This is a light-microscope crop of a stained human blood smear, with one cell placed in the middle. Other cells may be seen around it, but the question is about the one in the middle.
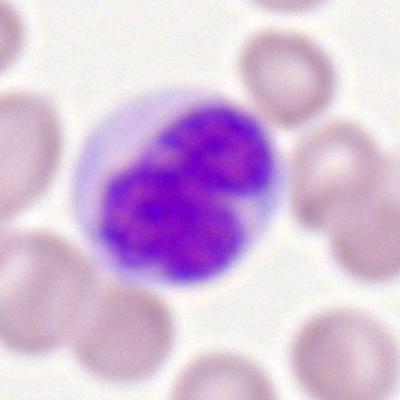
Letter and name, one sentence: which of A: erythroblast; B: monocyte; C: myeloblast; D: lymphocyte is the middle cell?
Option B is the right one, for the cell in the middle is a monocyte.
